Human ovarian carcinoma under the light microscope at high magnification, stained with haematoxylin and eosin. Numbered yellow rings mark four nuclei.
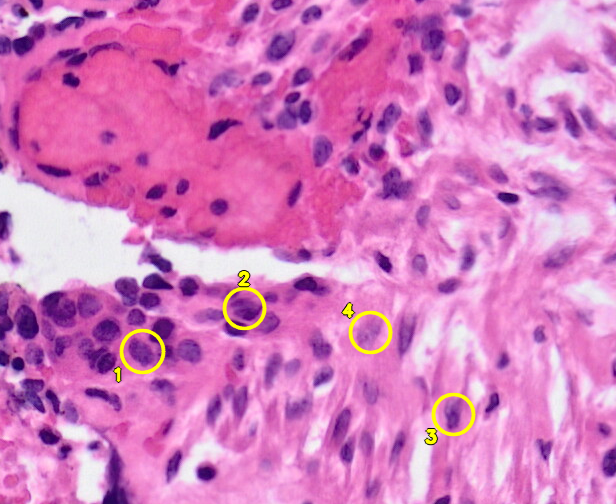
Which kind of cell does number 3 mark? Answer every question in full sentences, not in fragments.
Belonging to a fibroblast is the nucleus that carries the number 3.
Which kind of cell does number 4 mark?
Cell 4, among those numbered, is a fibroblast.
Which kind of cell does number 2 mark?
The correct label for cell 2 is a carcinoma cell.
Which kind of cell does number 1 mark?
Cell 1 in the field is a carcinoma cell.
